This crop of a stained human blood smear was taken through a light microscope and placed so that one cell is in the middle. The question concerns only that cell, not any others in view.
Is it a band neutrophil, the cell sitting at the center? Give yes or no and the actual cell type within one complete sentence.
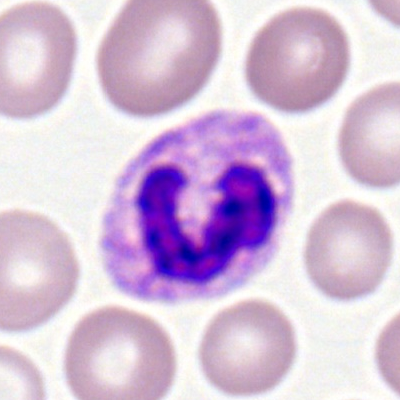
Yes, the cell in the middle is rightly called a band neutrophil.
